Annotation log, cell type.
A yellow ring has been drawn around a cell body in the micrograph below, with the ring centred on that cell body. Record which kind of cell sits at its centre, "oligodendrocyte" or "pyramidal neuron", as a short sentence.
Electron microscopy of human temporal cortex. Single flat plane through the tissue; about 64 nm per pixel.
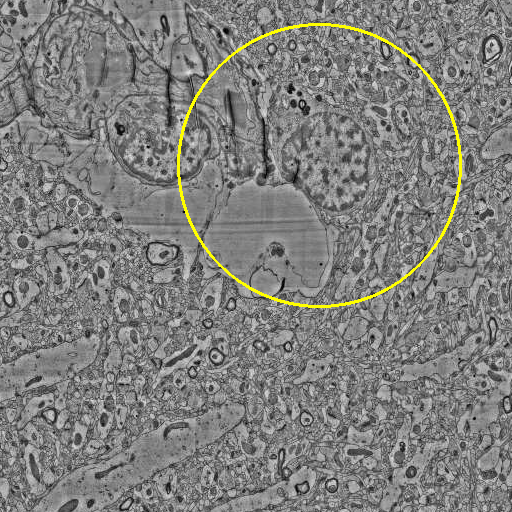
The cell at the centre of this ring is an oligodendrocyte.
